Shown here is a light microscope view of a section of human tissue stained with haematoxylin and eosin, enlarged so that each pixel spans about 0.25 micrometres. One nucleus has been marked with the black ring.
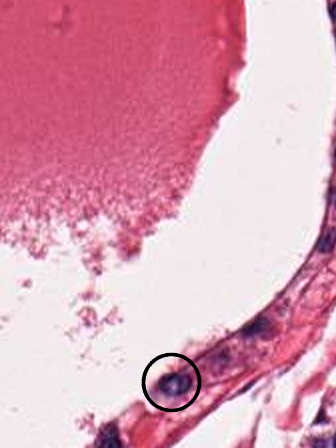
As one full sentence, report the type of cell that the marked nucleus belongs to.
The marked nucleus belongs, in this picture, to a thyroid follicular cell.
